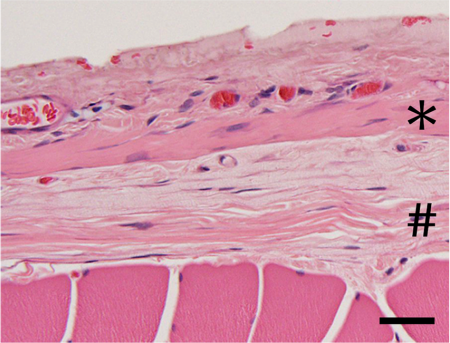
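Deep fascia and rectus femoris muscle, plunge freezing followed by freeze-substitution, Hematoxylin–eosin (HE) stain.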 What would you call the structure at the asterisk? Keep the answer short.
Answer: Single straight and thick collagen fibers.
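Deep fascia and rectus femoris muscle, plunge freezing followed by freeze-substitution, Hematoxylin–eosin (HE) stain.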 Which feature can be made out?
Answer: Vessels replete with erythrocytes.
